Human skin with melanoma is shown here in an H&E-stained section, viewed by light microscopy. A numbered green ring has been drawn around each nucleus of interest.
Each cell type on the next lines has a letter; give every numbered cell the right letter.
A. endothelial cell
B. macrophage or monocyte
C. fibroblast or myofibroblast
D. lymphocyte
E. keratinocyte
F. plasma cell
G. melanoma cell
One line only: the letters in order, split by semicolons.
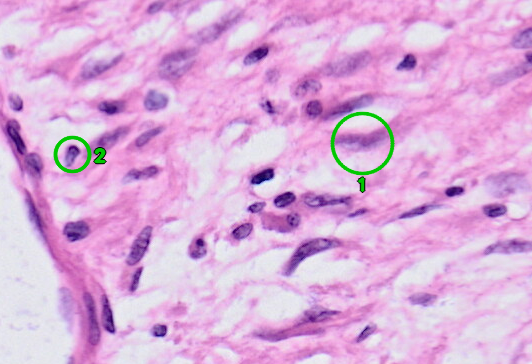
C; D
